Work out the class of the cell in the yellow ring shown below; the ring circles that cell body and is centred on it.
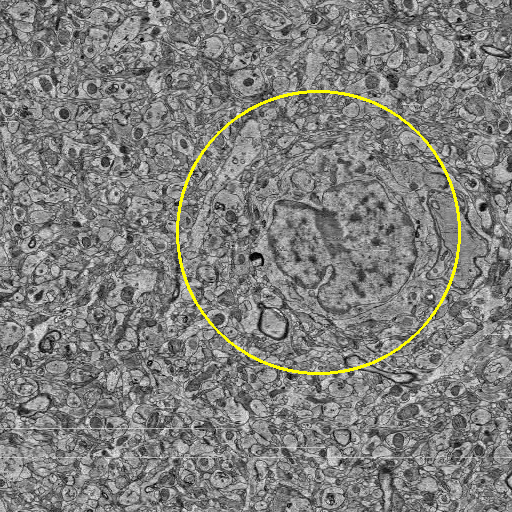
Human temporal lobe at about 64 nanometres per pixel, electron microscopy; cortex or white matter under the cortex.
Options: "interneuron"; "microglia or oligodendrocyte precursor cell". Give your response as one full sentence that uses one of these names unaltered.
The body ringed in yellow, right at the ring's centre, is that of a microglial cell or oligodendrocyte precursor cell.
